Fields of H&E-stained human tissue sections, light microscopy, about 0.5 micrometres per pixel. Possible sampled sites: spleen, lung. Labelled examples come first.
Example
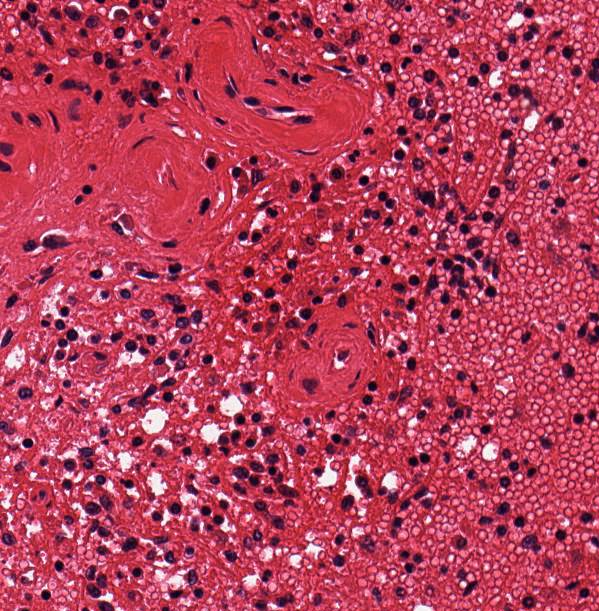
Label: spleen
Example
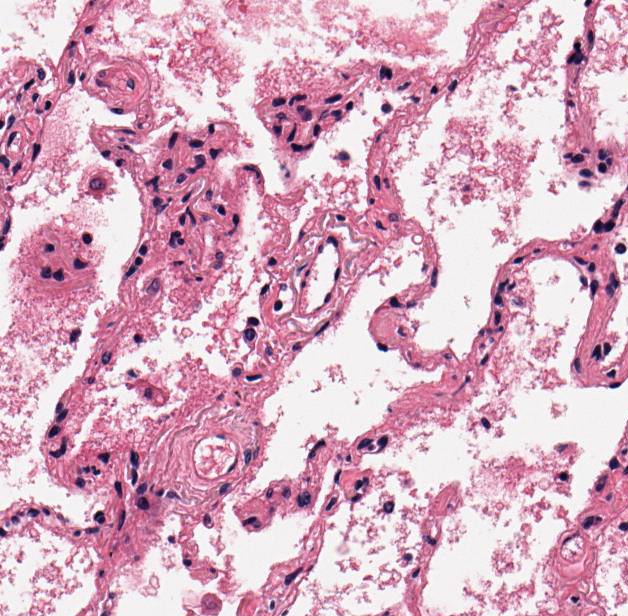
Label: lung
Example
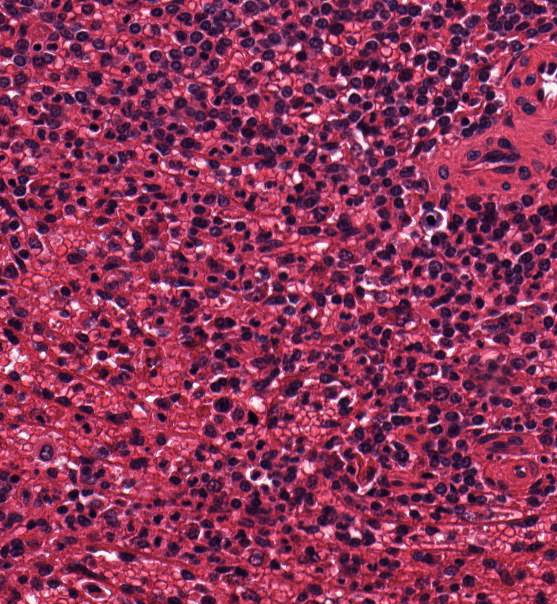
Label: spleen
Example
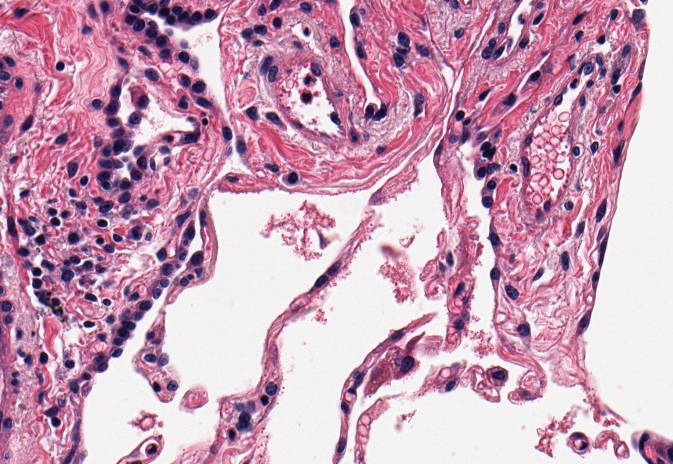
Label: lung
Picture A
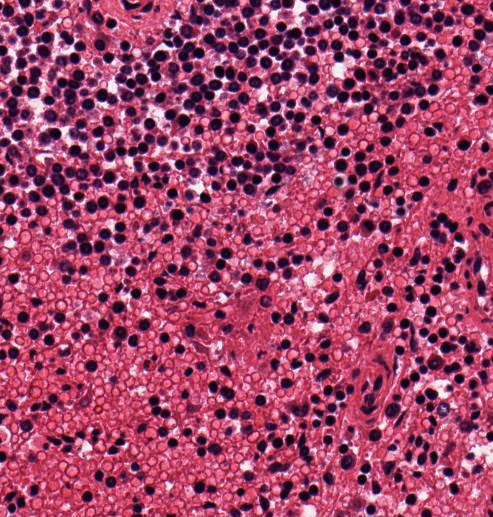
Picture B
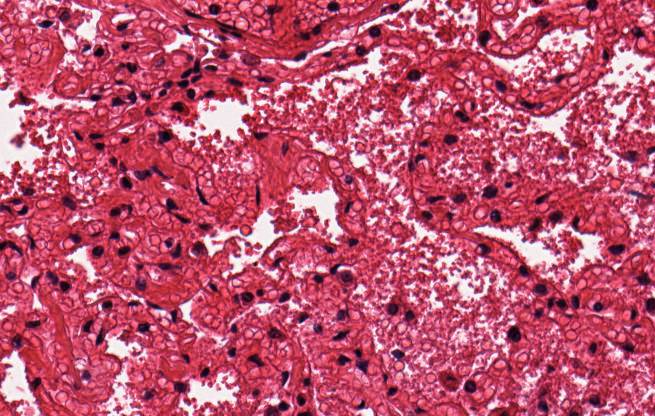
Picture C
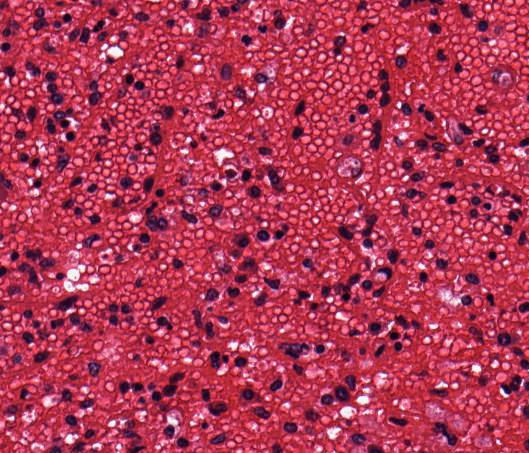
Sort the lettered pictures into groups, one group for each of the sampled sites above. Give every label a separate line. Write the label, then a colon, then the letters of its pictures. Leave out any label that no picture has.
spleen: A, C
lung: B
